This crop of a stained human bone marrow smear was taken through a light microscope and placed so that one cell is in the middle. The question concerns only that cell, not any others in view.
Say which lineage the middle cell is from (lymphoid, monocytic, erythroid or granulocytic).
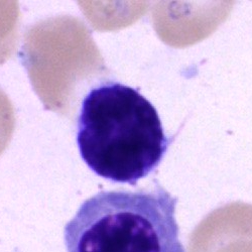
lymphoid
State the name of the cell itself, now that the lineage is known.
lymphocyte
